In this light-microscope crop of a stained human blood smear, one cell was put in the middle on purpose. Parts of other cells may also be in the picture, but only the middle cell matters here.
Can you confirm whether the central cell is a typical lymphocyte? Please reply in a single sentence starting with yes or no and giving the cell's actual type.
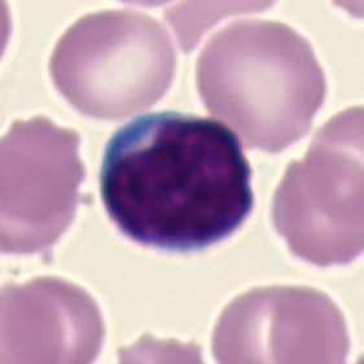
Yes, this central cell is a typical lymphocyte.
